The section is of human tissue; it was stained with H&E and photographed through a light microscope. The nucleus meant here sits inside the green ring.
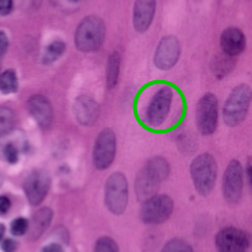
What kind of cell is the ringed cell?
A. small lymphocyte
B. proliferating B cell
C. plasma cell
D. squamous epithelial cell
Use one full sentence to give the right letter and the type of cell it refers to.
Option D is correct in that the ringed cell is a squamous epithelial cell.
